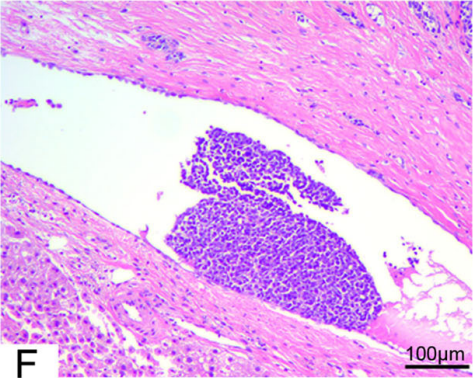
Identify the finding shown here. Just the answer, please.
Vascular tumor embolus.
